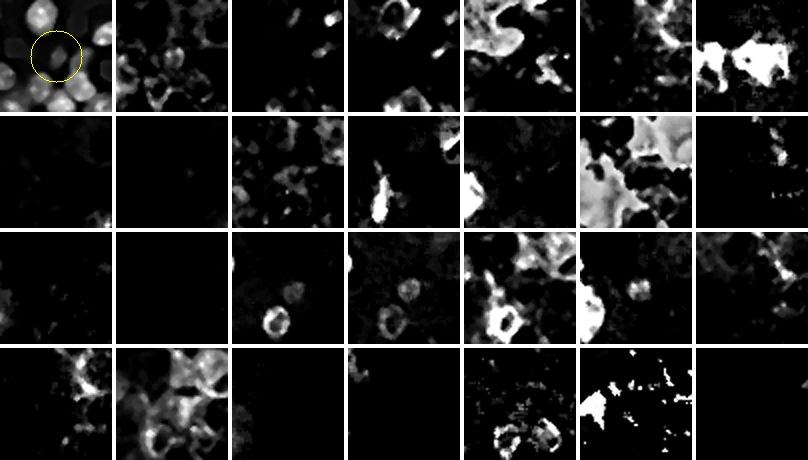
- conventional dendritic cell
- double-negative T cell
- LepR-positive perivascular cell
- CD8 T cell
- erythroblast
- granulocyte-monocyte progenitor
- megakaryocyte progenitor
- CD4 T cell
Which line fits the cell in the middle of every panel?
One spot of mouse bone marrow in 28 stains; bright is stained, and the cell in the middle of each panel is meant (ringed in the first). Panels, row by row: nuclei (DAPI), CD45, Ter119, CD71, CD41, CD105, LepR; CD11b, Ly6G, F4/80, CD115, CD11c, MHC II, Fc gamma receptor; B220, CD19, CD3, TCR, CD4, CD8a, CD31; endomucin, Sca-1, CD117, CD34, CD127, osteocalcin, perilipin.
LepR-positive perivascular cell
